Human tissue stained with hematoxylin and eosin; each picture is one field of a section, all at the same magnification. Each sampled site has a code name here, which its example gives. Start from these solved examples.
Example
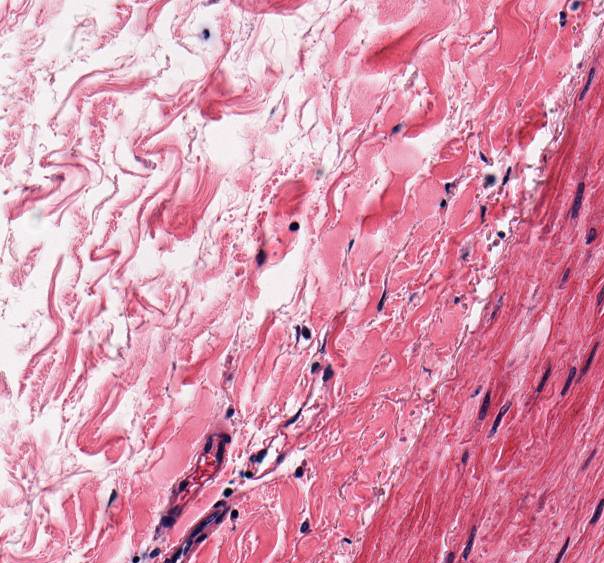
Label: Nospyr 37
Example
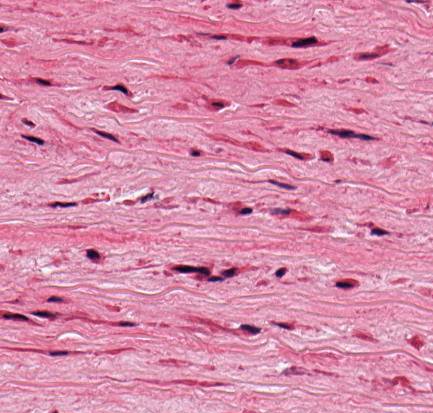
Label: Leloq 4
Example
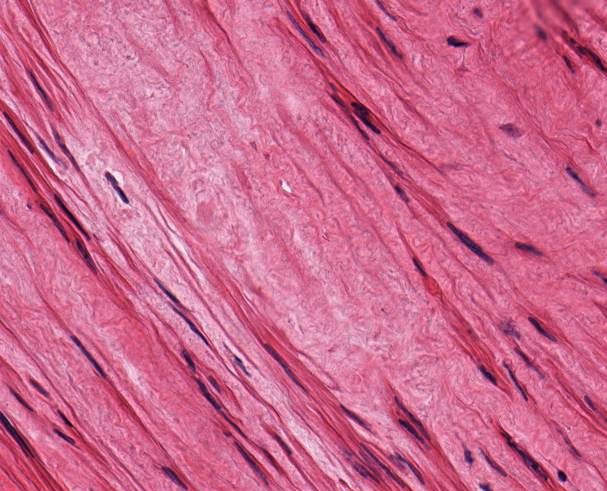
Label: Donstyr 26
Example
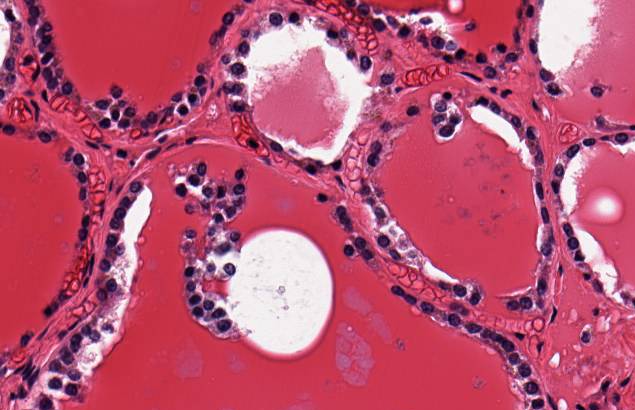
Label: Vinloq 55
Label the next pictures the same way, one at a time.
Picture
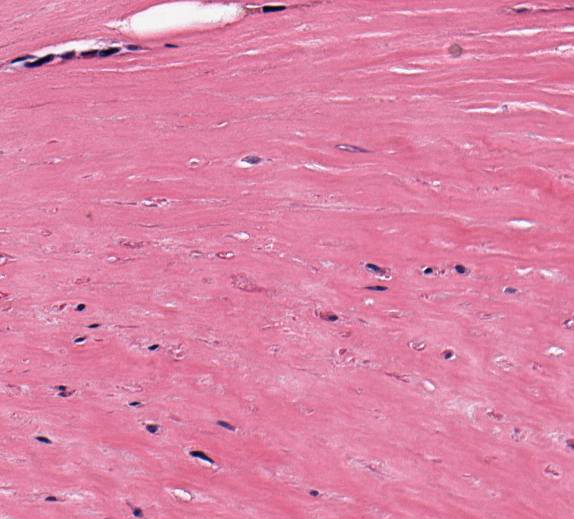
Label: Donstyr 26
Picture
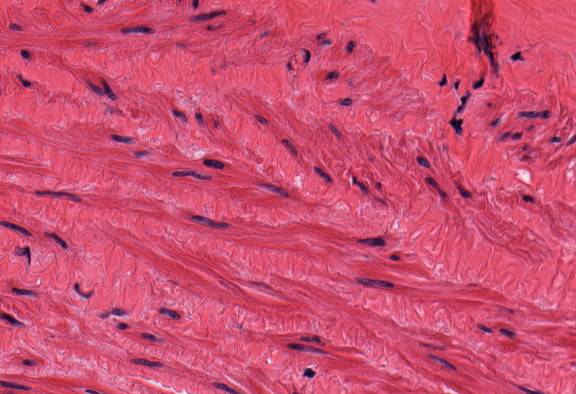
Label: Nospyr 37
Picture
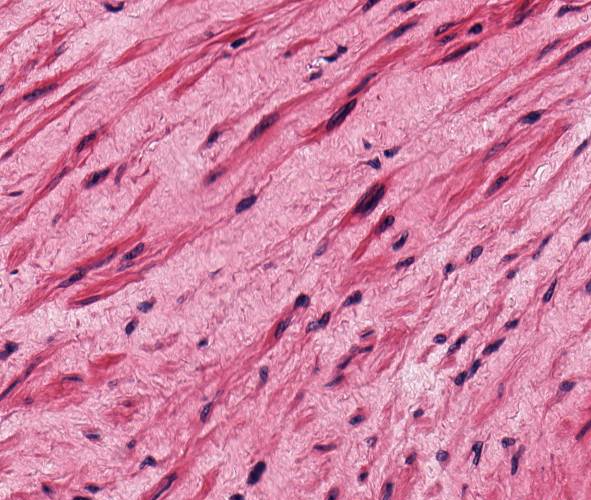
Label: Donstyr 26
